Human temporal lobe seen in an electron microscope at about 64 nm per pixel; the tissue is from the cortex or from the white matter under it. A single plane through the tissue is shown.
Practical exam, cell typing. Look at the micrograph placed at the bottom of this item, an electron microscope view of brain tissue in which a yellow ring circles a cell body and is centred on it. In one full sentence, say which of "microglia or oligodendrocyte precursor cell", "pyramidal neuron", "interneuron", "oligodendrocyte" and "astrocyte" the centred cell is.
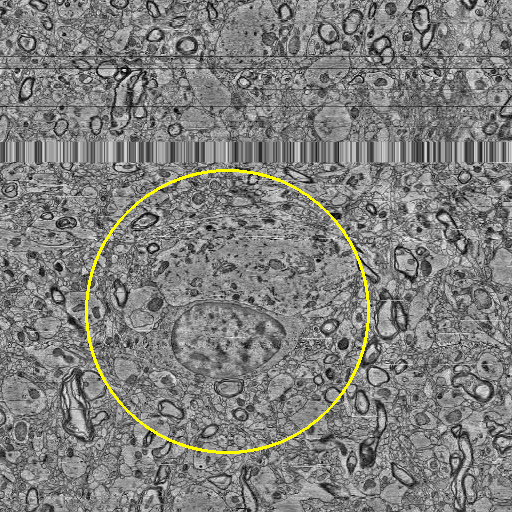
Given the options, an oligodendrocyte fits the cell whose body the yellow ring is centred on.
